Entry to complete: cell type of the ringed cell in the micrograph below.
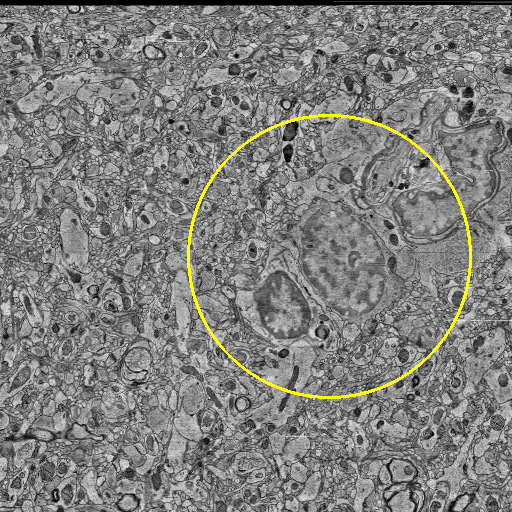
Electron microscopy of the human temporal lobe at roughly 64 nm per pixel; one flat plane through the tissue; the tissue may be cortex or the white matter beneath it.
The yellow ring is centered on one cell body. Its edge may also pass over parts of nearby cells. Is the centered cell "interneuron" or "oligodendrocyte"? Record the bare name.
oligodendrocyte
